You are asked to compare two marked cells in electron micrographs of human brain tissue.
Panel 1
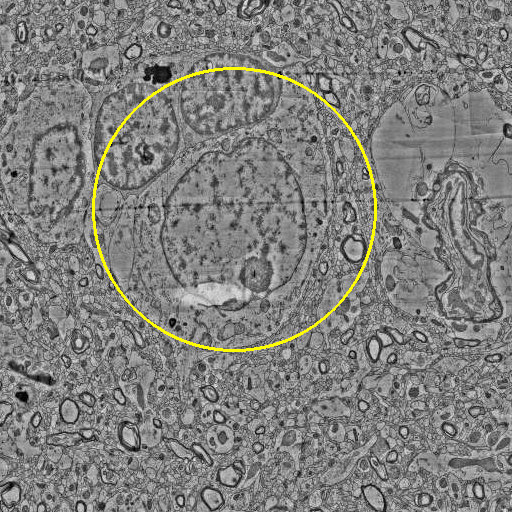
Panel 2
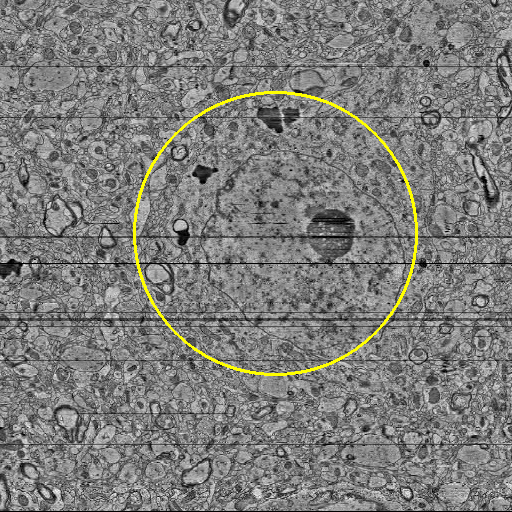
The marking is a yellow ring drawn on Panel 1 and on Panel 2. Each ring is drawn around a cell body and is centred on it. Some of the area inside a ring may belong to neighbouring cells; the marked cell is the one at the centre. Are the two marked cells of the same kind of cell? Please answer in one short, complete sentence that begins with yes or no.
Yes, the two marked cells are of the same kind.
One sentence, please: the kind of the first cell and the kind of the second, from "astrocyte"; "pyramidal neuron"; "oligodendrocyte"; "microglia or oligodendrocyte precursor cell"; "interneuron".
Each of the two cells is a pyramidal neuron.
